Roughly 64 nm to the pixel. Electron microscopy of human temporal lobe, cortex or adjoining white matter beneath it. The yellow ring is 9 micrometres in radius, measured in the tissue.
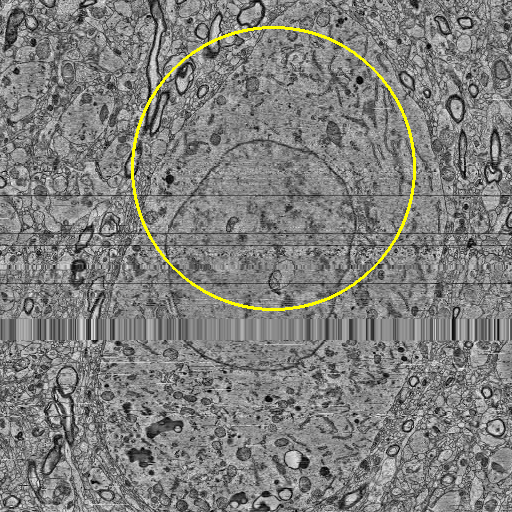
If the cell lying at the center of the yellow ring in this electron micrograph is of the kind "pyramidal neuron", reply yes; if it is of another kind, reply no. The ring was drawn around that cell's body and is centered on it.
yes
